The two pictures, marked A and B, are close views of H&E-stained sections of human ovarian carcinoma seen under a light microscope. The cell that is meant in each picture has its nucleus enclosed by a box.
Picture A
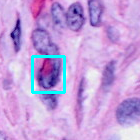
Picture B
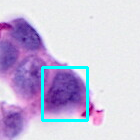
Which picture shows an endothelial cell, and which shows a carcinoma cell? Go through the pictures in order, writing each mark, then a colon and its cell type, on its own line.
A: endothelial cell
B: carcinoma cell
